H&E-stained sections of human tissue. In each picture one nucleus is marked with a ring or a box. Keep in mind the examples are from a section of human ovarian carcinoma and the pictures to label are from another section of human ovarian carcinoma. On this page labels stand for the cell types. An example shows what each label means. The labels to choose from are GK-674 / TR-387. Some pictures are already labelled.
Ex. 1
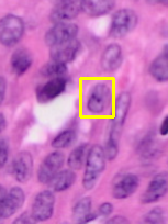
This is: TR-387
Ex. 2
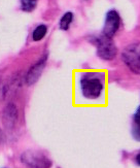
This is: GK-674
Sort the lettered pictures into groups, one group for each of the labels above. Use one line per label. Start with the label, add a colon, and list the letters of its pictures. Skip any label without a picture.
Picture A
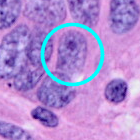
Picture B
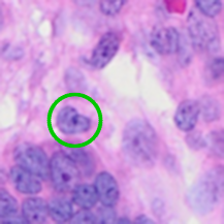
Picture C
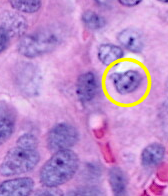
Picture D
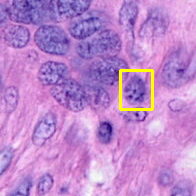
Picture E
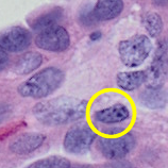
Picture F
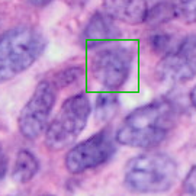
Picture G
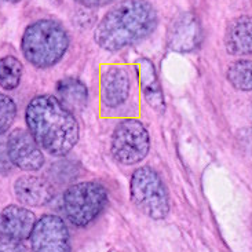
GK-674: A, F, G
TR-387: B, C, D, E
